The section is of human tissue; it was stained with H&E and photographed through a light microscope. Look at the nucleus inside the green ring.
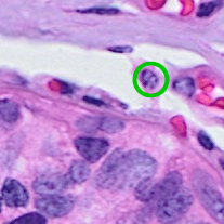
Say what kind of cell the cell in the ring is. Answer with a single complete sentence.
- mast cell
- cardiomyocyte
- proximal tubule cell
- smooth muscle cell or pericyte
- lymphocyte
In short, the cell in the ring on this section is a mast cell.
